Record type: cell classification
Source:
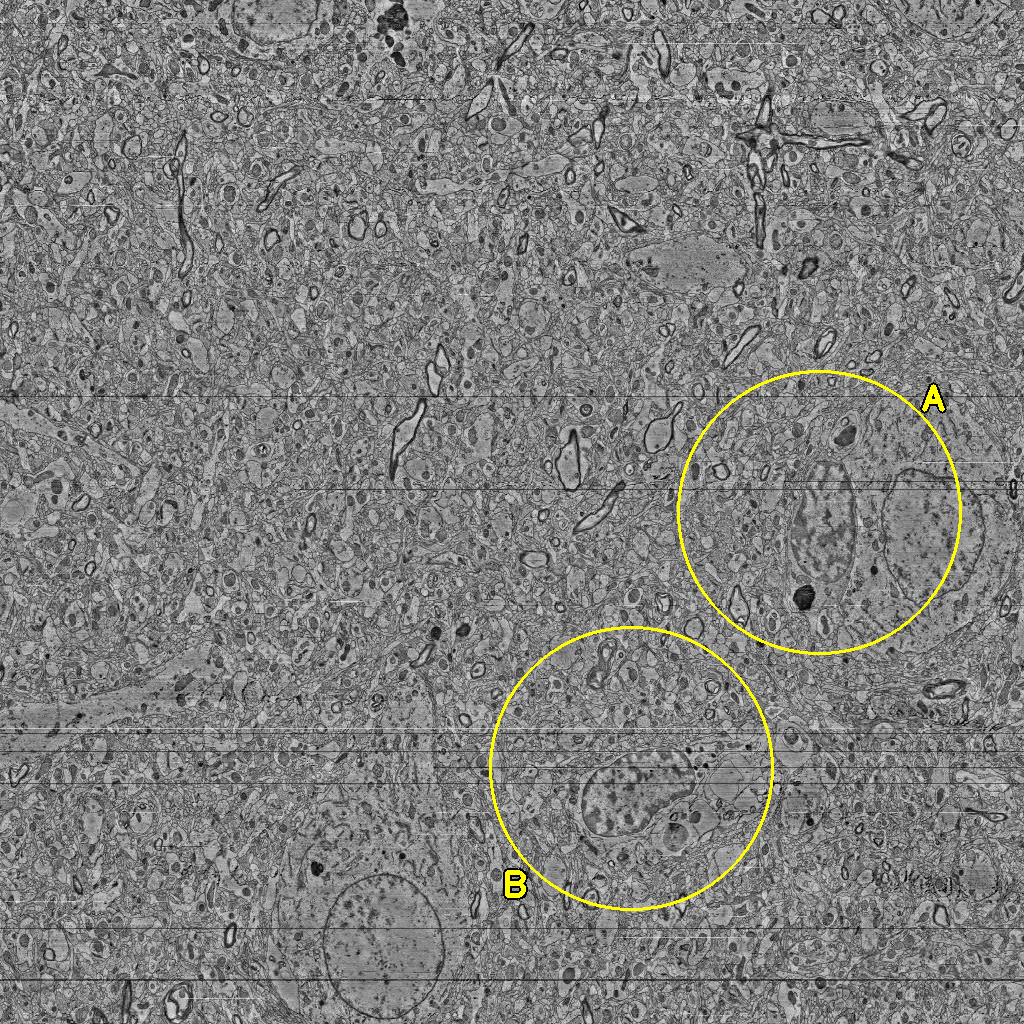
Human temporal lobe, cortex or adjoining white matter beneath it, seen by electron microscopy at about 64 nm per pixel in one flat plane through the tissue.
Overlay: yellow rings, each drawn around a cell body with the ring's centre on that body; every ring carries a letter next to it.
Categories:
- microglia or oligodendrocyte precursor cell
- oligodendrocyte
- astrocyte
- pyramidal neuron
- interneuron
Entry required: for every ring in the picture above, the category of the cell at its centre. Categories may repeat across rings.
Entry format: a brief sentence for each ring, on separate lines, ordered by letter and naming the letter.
At the centre of ring A lies an oligodendrocyte.
At the centre of ring B lies a microglial cell or oligodendrocyte precursor cell.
